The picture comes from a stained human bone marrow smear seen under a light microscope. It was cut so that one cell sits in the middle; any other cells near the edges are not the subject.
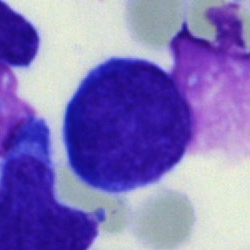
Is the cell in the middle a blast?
yes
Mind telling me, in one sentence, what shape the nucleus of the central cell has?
Its nucleus is compact and single, with a round, oval or kidney-shaped form.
